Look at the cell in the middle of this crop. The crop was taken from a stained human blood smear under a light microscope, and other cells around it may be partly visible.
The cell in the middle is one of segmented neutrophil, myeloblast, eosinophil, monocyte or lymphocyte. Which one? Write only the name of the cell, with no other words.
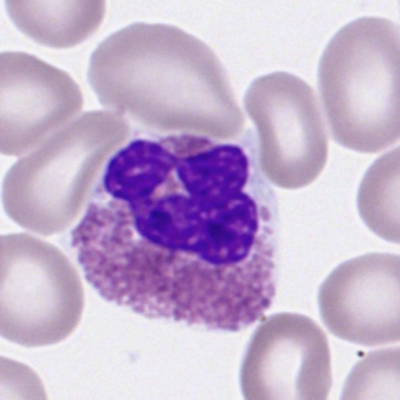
eosinophil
